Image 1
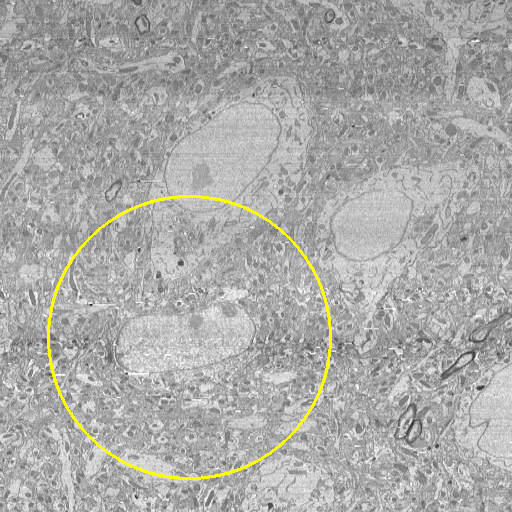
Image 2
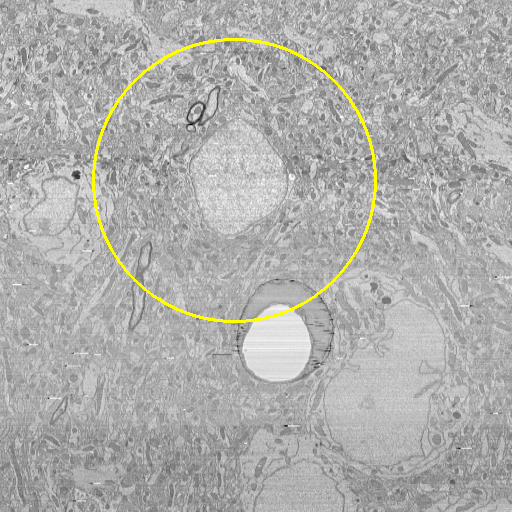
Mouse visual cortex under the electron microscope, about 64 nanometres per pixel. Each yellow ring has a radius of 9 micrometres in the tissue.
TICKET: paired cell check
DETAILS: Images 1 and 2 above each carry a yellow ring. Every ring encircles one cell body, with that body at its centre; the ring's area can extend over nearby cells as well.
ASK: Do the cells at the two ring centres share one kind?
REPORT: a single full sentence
Yes, the ring-centre cells of Images 1 and 2 belong to a single kind.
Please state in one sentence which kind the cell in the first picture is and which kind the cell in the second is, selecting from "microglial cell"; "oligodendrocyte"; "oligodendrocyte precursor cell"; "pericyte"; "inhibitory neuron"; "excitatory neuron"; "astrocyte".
In each of the two pictures, the ringed cell is an astrocyte.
